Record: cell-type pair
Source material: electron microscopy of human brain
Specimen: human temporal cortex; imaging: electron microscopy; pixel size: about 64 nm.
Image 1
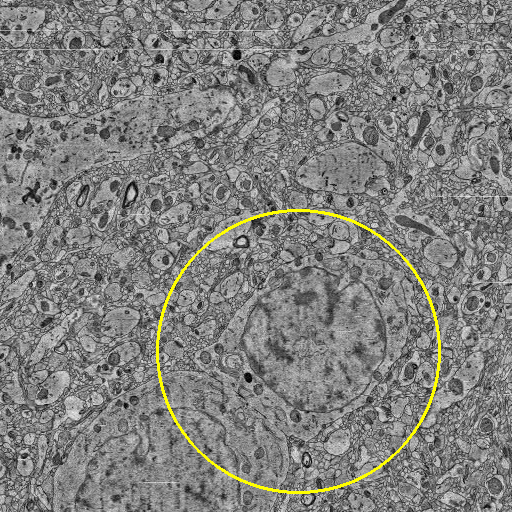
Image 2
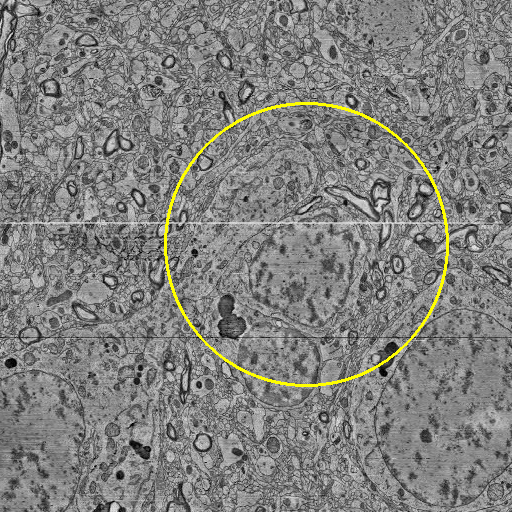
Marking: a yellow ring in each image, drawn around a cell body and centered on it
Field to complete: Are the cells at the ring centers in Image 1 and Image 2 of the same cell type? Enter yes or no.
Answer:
yes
